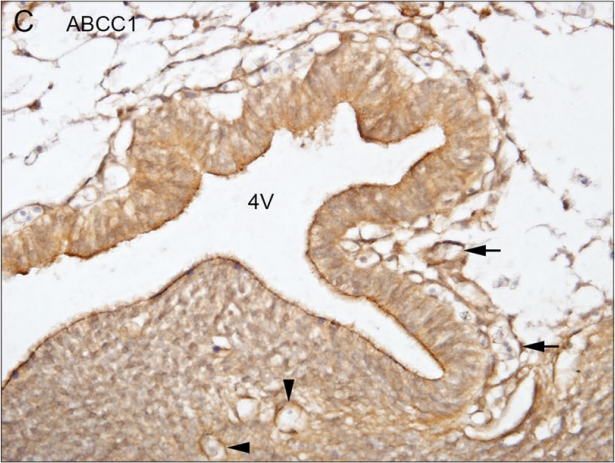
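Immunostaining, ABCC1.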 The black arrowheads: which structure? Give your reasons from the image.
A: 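The arrowheads point to small round lumens within the densely cellular tissue at the bottom. These lumens lie in the tissue, not in the folded epithelium. So: parenchymal blood vessels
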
